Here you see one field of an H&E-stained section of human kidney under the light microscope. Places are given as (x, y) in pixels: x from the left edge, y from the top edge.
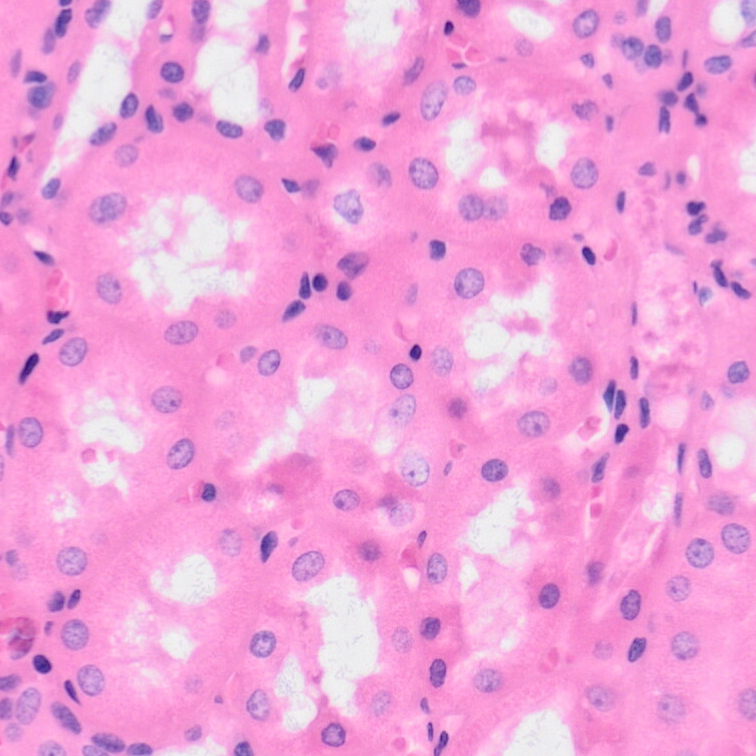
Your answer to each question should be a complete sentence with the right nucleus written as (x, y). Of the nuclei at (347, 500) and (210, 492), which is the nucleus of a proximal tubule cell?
Answering which nucleus it is: the one at (347, 500), belonging to a proximal tubule cell.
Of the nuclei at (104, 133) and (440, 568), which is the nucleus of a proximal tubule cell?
The member of the pair belonging to a proximal tubule cell is the nucleus at (440, 568).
